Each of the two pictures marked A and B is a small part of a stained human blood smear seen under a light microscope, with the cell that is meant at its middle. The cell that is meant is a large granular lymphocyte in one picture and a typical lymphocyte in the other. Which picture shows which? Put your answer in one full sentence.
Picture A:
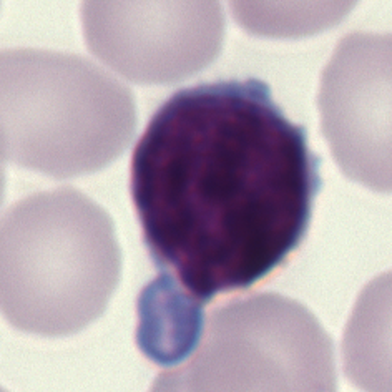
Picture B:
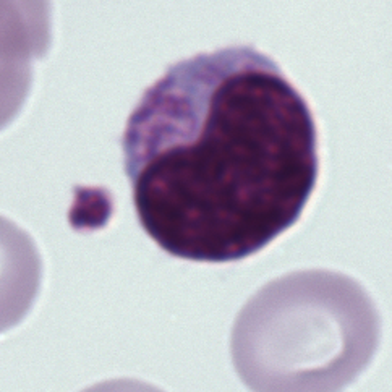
Picture B shows a large granular lymphocyte, while picture A shows a typical lymphocyte.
